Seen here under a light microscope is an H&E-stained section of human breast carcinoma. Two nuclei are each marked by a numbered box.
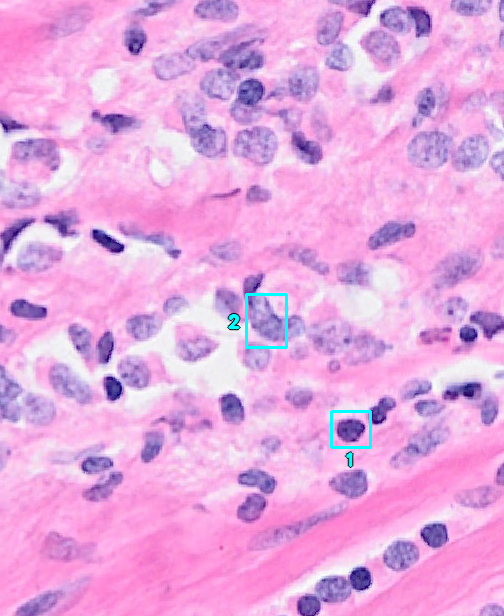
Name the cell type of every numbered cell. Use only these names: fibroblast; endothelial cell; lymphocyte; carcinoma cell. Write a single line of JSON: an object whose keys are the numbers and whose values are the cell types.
{"1": "lymphocyte", "2": "carcinoma cell"}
